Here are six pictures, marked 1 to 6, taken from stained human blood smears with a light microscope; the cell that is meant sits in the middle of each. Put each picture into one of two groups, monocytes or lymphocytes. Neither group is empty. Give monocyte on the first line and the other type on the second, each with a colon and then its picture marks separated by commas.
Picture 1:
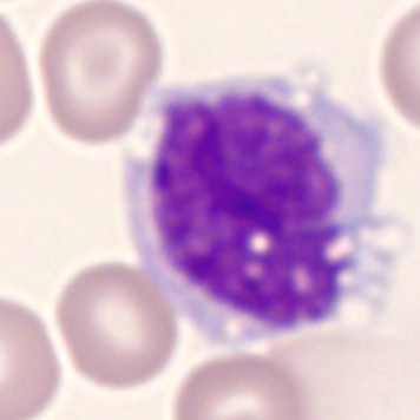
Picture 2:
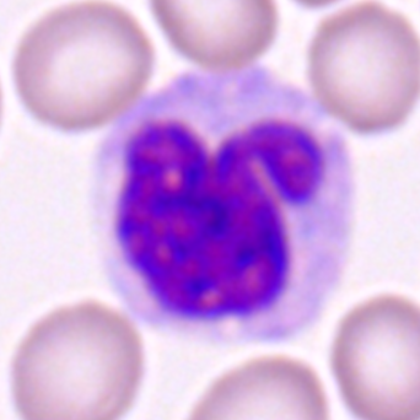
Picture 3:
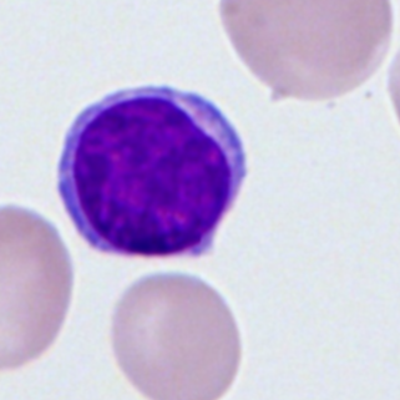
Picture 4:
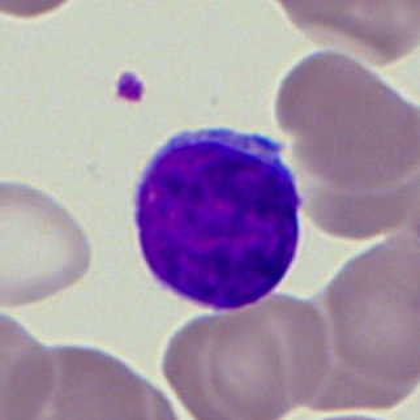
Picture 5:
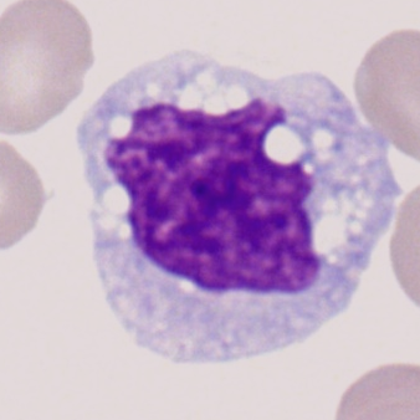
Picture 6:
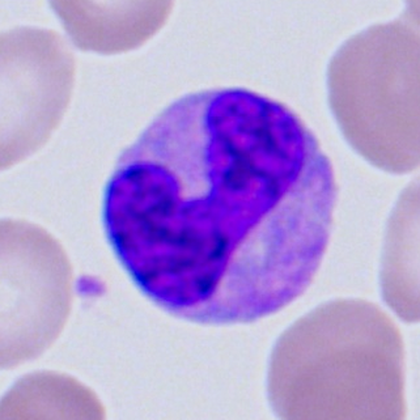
monocyte: 1, 2, 5, 6
lymphocyte: 3, 4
